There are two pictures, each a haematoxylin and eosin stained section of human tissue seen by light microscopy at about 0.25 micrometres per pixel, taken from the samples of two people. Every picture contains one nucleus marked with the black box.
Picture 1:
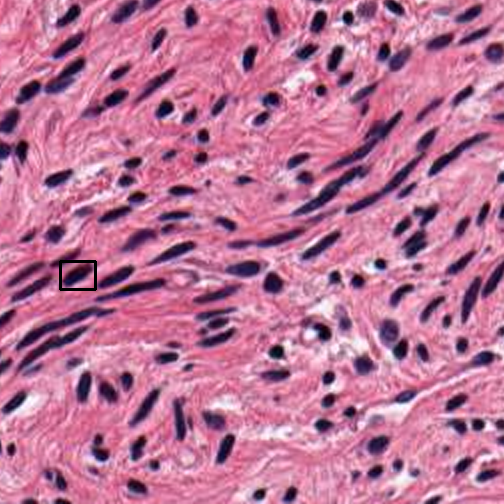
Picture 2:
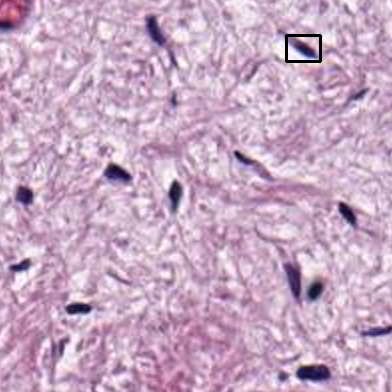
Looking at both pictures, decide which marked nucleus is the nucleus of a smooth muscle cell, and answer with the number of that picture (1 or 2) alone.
1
